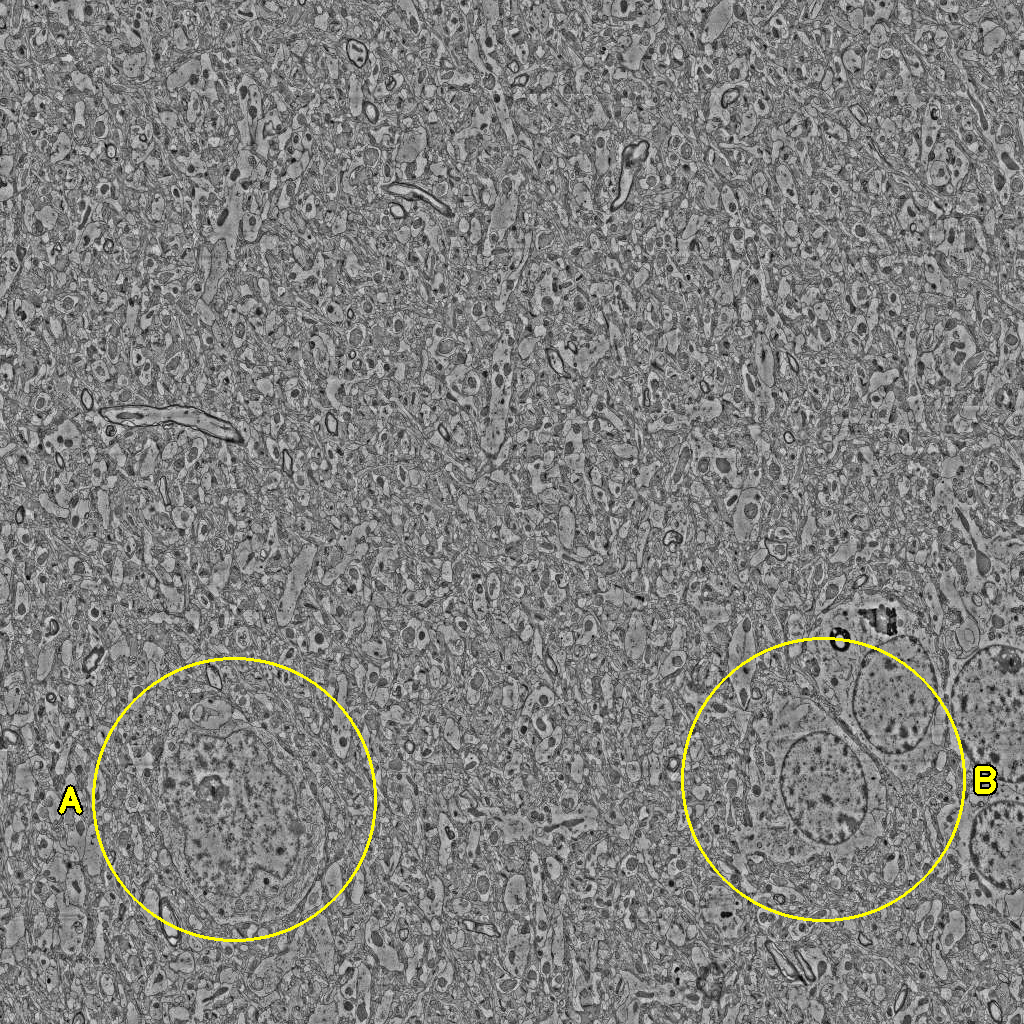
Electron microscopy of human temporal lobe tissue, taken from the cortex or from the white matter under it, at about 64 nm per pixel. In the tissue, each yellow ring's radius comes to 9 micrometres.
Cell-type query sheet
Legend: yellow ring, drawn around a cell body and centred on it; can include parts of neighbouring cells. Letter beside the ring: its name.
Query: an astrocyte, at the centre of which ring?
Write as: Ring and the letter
Ring B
